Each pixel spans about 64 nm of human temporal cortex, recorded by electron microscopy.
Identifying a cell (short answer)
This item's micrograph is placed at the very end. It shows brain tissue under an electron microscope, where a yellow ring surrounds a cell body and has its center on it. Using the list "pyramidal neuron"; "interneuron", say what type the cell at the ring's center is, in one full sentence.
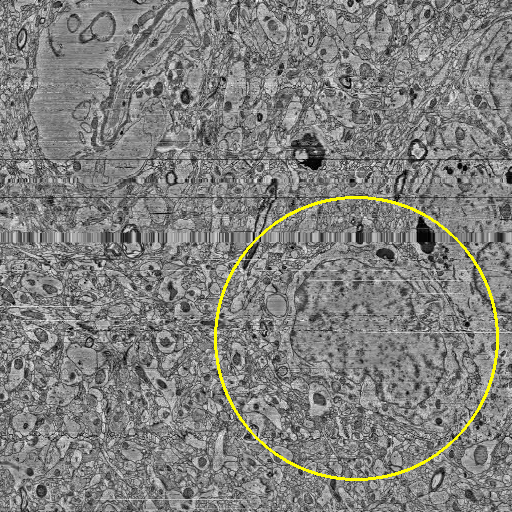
This picture shows an interneuron at the center of the yellow ring drawn on it.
